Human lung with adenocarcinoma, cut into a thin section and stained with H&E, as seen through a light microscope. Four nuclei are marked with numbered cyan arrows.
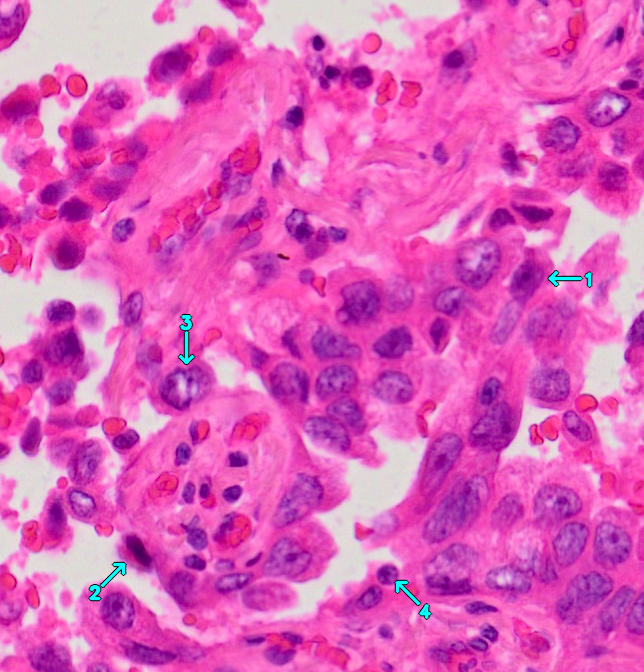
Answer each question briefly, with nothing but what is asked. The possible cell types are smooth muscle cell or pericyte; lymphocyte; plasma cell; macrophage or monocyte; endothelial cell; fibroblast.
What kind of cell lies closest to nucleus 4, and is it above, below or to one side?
a macrophage or monocyte below and to the left of nucleus 4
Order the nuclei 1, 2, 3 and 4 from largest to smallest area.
3, 1, 2, 4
